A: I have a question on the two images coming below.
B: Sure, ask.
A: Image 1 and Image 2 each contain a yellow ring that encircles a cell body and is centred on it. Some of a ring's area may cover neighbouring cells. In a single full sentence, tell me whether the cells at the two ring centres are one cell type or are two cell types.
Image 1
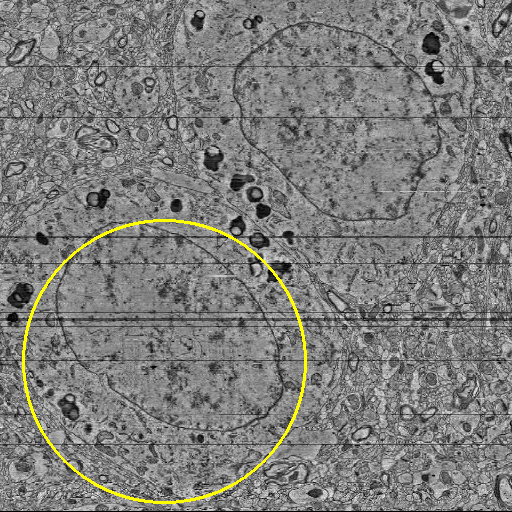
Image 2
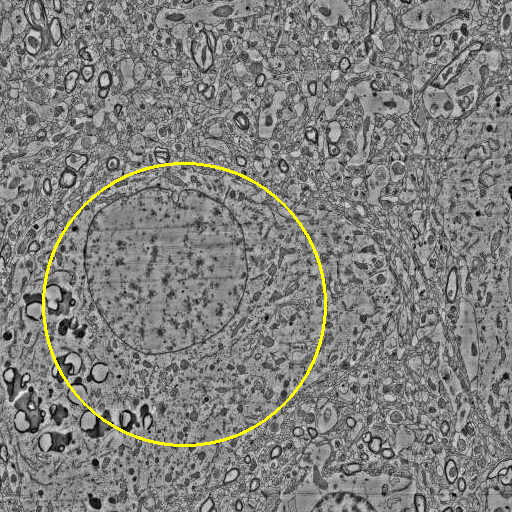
As for the ring-centre cells, the one in Image 1 and the one in Image 2 are one cell type.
